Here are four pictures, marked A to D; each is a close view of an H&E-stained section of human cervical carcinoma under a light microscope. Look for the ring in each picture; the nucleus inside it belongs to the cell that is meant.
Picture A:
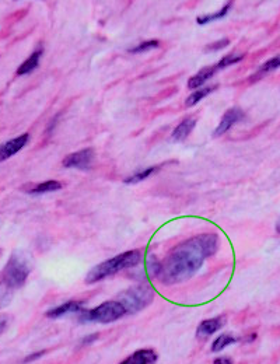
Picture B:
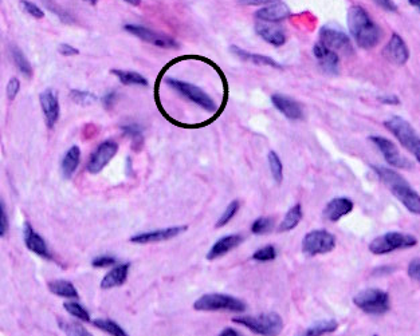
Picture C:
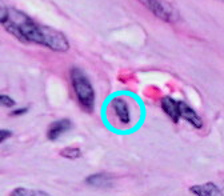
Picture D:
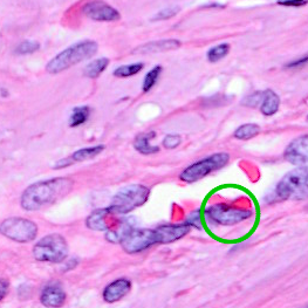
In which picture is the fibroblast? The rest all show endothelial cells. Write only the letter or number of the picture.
B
